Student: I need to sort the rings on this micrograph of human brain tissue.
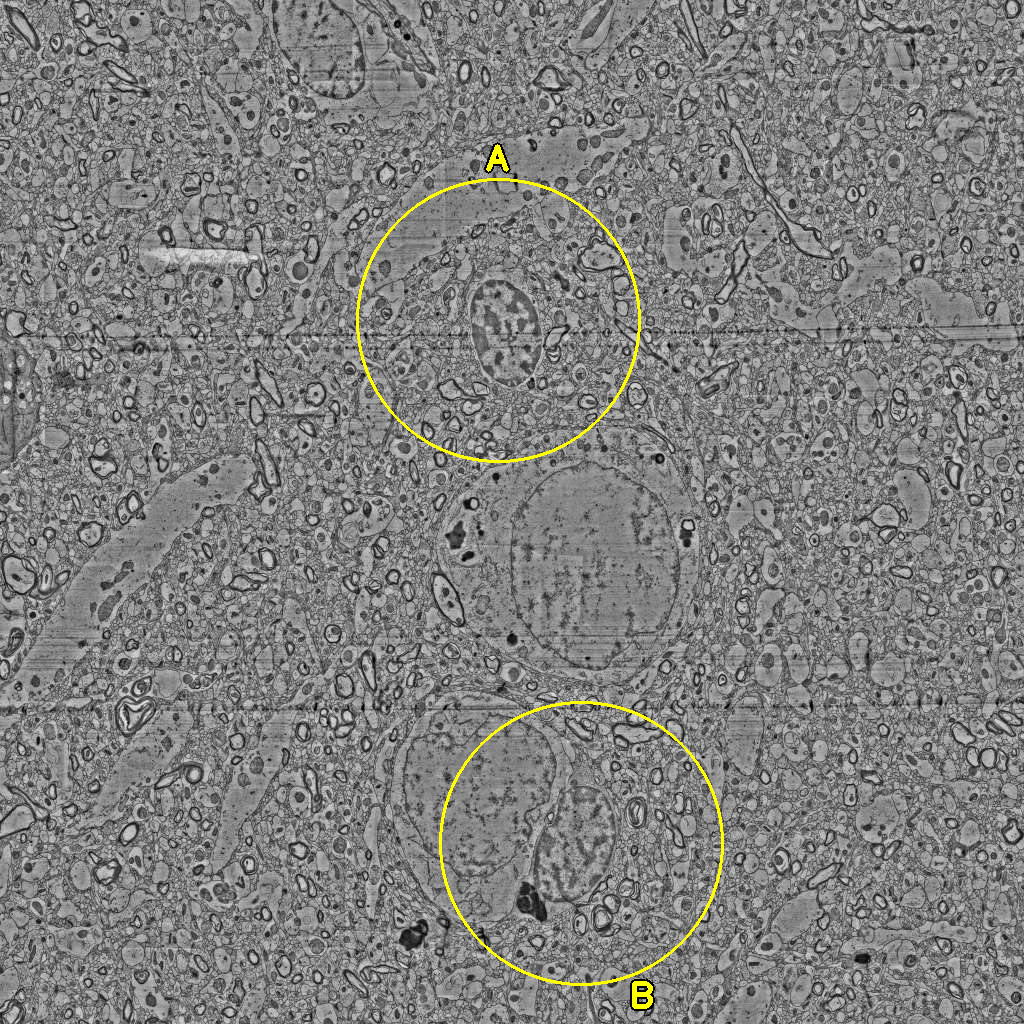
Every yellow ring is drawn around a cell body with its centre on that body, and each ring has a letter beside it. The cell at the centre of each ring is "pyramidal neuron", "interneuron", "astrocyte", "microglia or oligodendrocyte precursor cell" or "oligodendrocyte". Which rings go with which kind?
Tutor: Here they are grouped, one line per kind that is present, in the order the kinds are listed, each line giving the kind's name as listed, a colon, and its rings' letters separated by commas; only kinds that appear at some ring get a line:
microglia or oligodendrocyte precursor cell: A
oligodendrocyte: B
